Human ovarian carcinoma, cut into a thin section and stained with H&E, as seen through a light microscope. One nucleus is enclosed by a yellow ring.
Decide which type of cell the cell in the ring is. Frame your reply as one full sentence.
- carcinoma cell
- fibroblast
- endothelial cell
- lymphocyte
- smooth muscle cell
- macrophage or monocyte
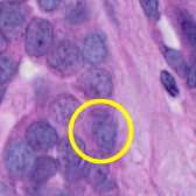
In the tissue at hand, the cell in the ring is a carcinoma cell.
